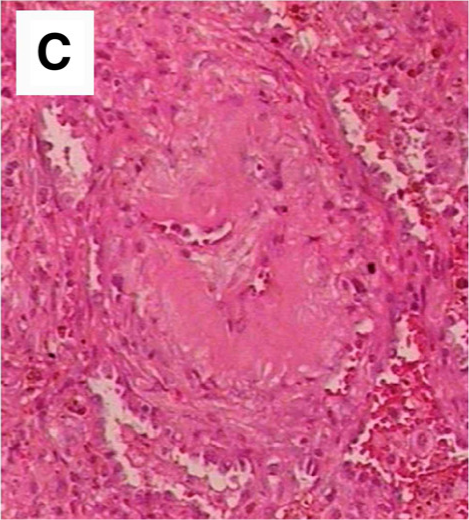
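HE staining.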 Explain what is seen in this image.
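A small pulmonary vessel with a greatly thickened wall is shown, its center replaced by pale pink, glassy tissue. Only narrow slit-like spaces remain of the lumen, and the normal layered wall structure can no longer be made out. Elongated cells with oval nuclei surround the mass, and the neighbouring lung tissue contains red blood cells.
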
